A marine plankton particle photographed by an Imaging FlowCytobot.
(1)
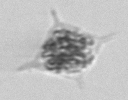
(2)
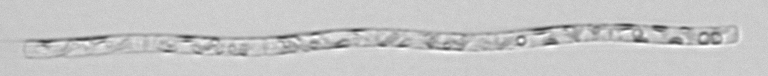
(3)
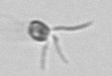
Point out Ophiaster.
That is picture 3.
